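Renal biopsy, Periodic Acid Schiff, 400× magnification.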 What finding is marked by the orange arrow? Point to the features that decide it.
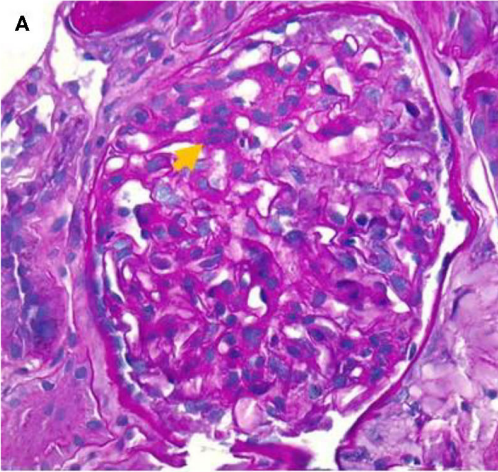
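Capillary lumens elsewhere in the tuft remain open. On this evidence: segmental mesangial hypercellularity.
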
